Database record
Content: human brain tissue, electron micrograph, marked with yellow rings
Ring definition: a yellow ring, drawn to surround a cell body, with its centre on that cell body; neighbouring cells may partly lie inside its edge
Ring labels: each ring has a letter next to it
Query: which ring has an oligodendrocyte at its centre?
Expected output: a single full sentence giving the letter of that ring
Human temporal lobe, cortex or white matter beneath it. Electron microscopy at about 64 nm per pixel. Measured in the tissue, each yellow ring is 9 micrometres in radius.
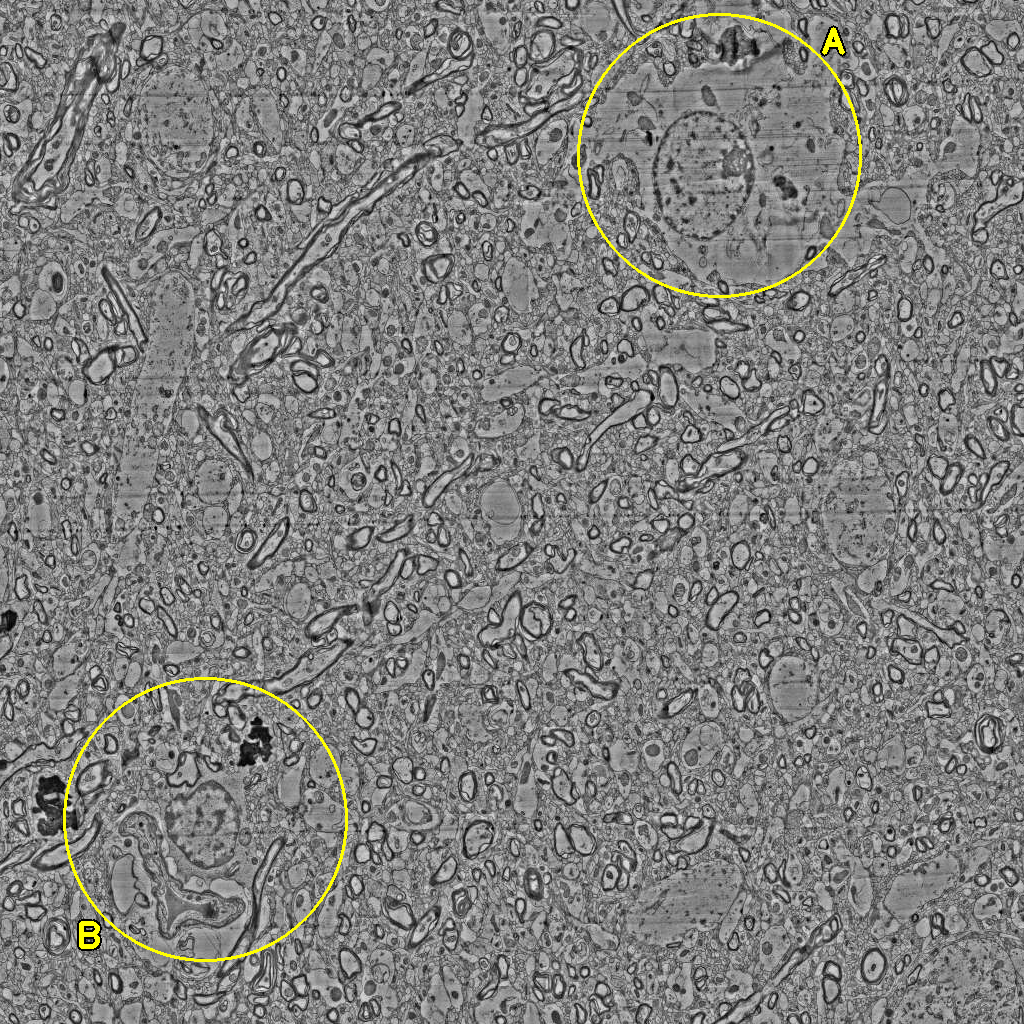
In the picture, the cell being queried lies at the centre of ring B.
